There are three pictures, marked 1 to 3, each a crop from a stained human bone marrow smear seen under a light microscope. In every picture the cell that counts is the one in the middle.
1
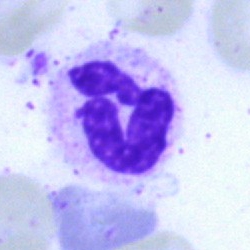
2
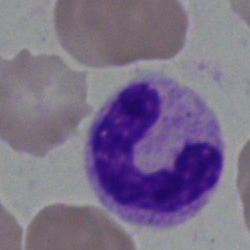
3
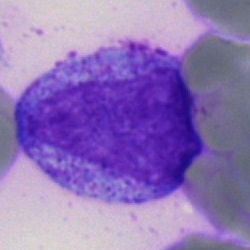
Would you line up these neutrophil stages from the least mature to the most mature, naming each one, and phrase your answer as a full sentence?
In order from least mature to most mature, the crops stand crop 3 (a myelocyte), crop 2 (a band neutrophil) and crop 1 (a segmented neutrophil).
